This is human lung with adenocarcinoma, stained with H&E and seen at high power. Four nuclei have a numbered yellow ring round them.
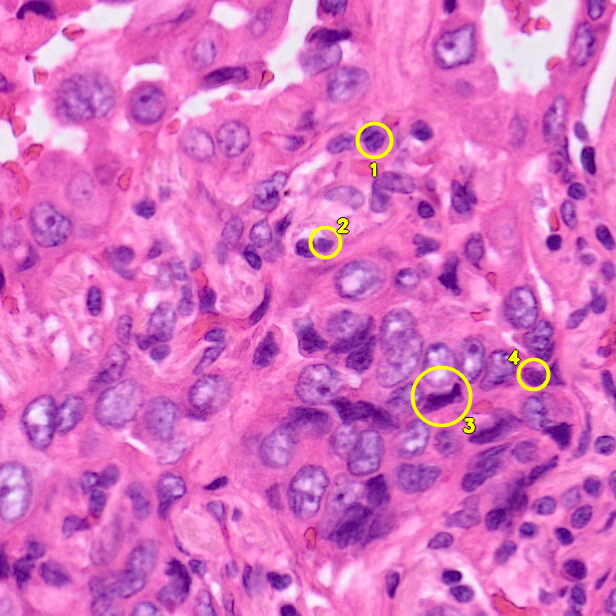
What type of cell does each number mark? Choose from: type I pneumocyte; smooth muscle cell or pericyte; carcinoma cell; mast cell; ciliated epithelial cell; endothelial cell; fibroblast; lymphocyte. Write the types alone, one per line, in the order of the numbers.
lymphocyte
lymphocyte
carcinoma cell
carcinoma cell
